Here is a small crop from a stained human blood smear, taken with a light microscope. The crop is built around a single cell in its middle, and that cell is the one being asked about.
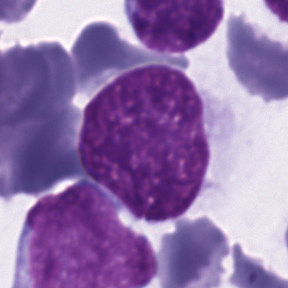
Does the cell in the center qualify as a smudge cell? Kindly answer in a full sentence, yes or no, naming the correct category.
No, instead of a smudge cell, the middle cell is a myeloblast.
